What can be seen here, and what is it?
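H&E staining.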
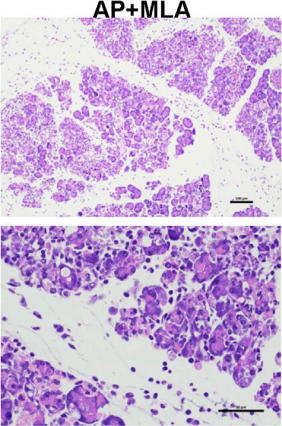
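Many acinar cells have pale, vacuolated cytoplasm and the normal acinar arrangement is lost in places. Scattered small, dark, round nuclei lie in the loose pale tissue between lobules, consistent with inflammatory cells. Some cell outlines are indistinct and the tissue looks disrupted compared with closely packed normal acini.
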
